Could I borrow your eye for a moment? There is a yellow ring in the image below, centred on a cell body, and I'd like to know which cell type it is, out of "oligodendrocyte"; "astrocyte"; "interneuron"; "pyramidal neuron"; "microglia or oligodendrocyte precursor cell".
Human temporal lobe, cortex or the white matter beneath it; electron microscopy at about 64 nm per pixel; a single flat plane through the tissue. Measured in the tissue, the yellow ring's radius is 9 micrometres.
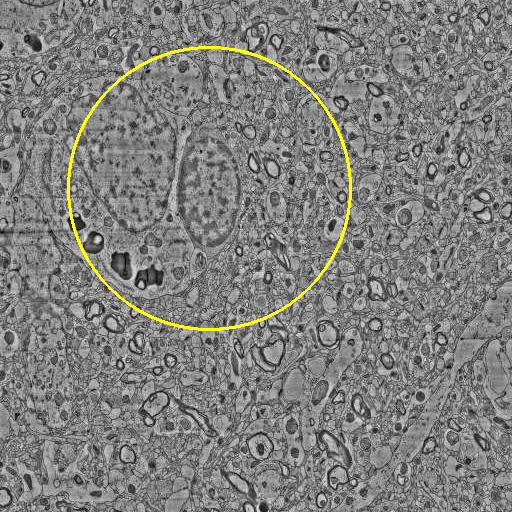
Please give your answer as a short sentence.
The cell body at the centre is that of an oligodendrocyte.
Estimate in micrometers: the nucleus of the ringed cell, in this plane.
In this plane, approximately 7 by 4 micrometers, and clearly longer than it is wide.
